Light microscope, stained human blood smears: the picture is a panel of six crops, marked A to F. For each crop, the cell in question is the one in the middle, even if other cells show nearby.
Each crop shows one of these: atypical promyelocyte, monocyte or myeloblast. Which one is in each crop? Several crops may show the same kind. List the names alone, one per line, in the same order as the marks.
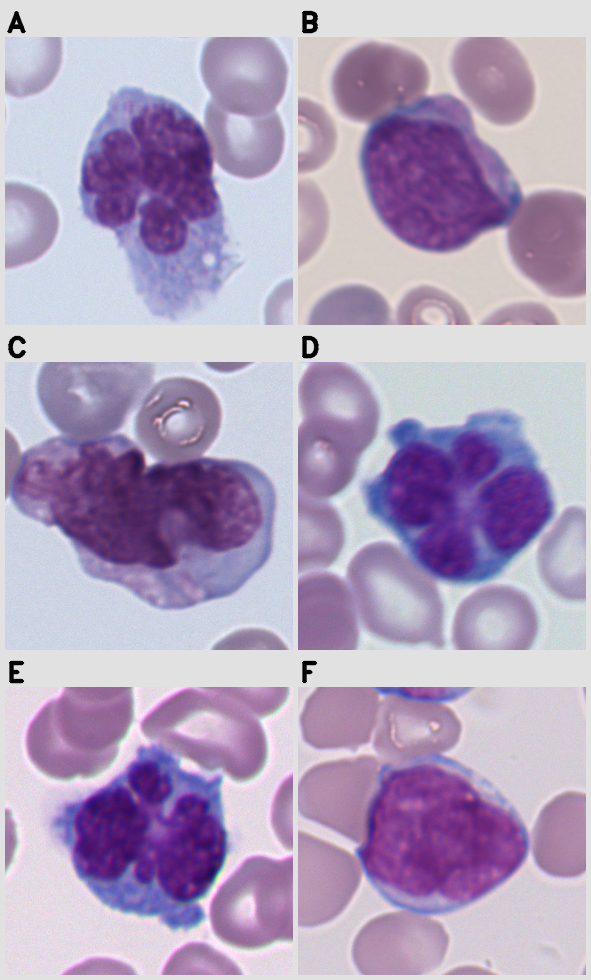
monocyte
atypical promyelocyte
atypical promyelocyte
myeloblast
monocyte
myeloblast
